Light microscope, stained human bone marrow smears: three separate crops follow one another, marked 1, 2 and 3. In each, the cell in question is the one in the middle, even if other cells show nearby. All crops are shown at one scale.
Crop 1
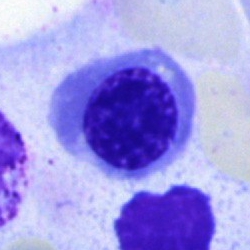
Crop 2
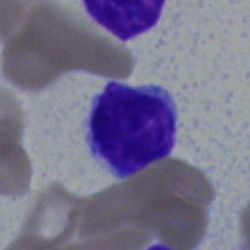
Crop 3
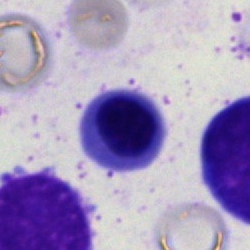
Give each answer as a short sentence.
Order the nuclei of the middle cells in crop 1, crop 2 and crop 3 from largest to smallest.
From the largest down, the order is 1, 2, 3.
